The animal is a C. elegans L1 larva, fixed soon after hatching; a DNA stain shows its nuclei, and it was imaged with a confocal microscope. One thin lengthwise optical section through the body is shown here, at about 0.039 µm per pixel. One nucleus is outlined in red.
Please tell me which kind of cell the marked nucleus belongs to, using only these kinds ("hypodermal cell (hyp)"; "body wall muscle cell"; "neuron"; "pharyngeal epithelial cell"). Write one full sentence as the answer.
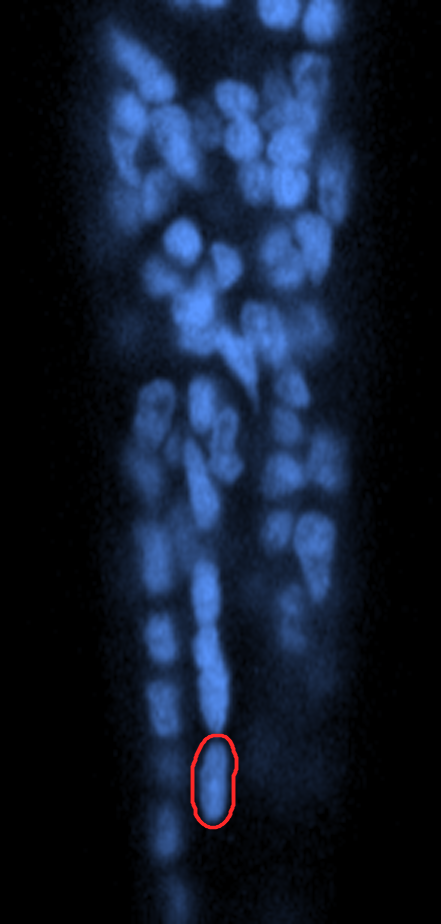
It is the nucleus of a pharyngeal epithelial cell.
